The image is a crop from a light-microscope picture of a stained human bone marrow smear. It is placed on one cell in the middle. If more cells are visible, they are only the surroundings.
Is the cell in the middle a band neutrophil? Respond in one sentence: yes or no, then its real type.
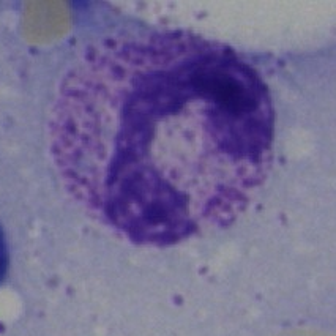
No, the central cell qualifies as a segmented neutrophil rather than as a band neutrophil.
